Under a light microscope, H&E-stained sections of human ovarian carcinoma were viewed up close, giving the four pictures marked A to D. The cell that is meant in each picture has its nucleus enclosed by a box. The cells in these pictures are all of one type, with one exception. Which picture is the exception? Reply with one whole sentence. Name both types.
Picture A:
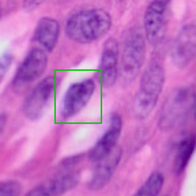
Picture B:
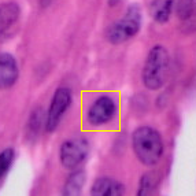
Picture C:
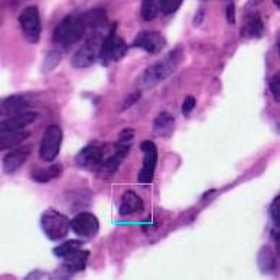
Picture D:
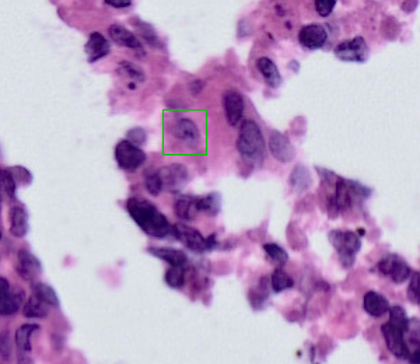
Picture A is the odd one out: it shows a carcinoma cell, while the others show “macrophages or monocytes”.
